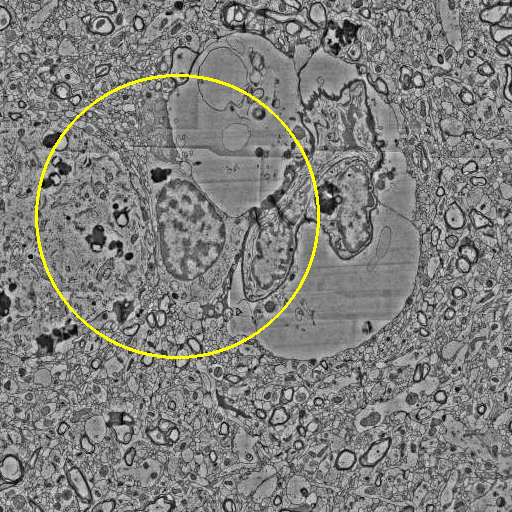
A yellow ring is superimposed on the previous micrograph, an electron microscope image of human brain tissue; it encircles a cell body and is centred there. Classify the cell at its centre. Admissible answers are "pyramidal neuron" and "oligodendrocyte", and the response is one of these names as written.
oligodendrocyte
